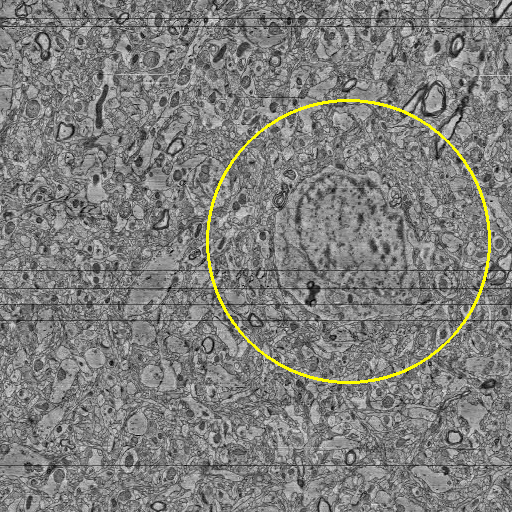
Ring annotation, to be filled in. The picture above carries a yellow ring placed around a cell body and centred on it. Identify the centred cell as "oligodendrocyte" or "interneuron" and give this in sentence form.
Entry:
The cell in the middle of the ring is an interneuron.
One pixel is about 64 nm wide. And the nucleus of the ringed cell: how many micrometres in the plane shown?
The nucleus works out at approximately 9 by 7 micrometres in this plane.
